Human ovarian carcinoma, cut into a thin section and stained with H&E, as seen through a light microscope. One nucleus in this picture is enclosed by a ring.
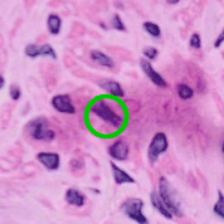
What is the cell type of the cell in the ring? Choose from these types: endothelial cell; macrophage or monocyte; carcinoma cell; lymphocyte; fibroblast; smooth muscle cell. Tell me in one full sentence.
The classification of the cell in the ring is as a smooth muscle cell.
